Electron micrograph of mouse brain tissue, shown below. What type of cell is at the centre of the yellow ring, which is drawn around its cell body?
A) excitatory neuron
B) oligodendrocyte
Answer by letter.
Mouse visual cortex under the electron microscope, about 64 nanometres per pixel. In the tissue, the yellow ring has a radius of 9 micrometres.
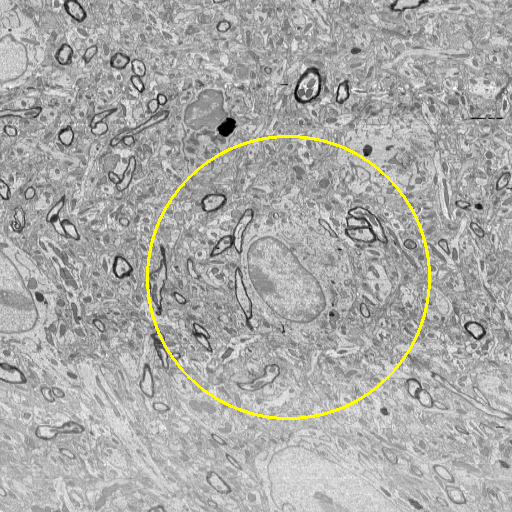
B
